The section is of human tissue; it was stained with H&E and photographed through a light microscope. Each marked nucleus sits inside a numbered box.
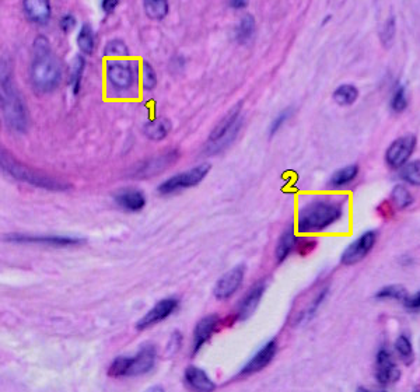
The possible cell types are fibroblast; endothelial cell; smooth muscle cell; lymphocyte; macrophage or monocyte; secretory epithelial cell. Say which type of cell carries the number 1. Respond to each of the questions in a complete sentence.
That cell with number 1 is a smooth muscle cell.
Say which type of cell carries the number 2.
In this section, the cell numbered 2 is an endothelial cell.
